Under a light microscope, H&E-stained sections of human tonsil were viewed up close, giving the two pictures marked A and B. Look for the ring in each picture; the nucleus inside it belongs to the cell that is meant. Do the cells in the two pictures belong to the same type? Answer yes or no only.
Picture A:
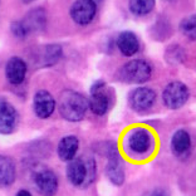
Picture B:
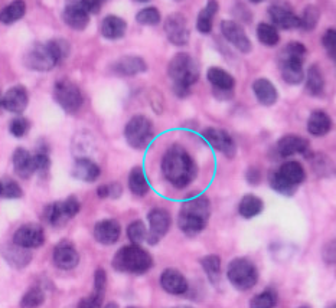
no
